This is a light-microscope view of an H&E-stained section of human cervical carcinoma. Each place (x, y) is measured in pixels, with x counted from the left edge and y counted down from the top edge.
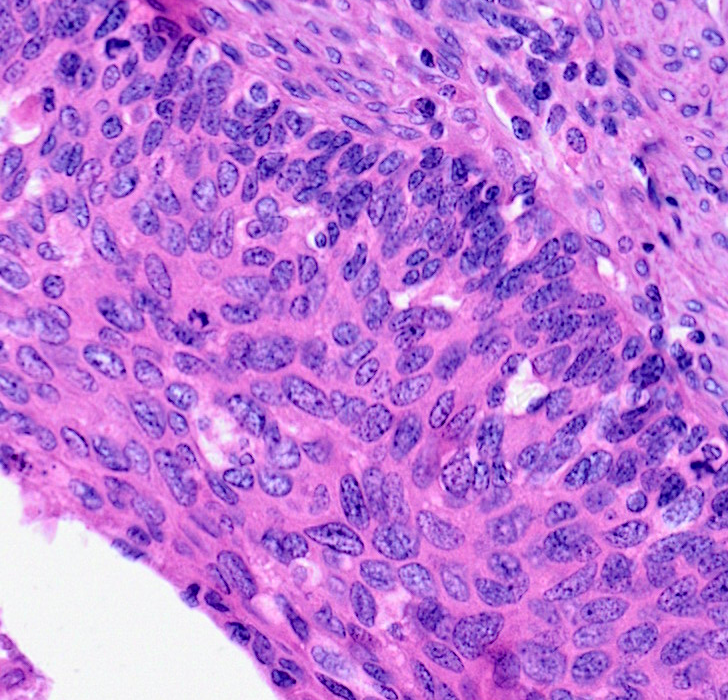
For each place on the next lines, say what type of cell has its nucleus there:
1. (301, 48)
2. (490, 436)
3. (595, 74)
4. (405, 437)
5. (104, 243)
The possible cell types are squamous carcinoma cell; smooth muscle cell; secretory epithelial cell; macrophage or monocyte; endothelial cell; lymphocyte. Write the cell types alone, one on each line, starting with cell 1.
smooth muscle cell
squamous carcinoma cell
lymphocyte
squamous carcinoma cell
squamous carcinoma cell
